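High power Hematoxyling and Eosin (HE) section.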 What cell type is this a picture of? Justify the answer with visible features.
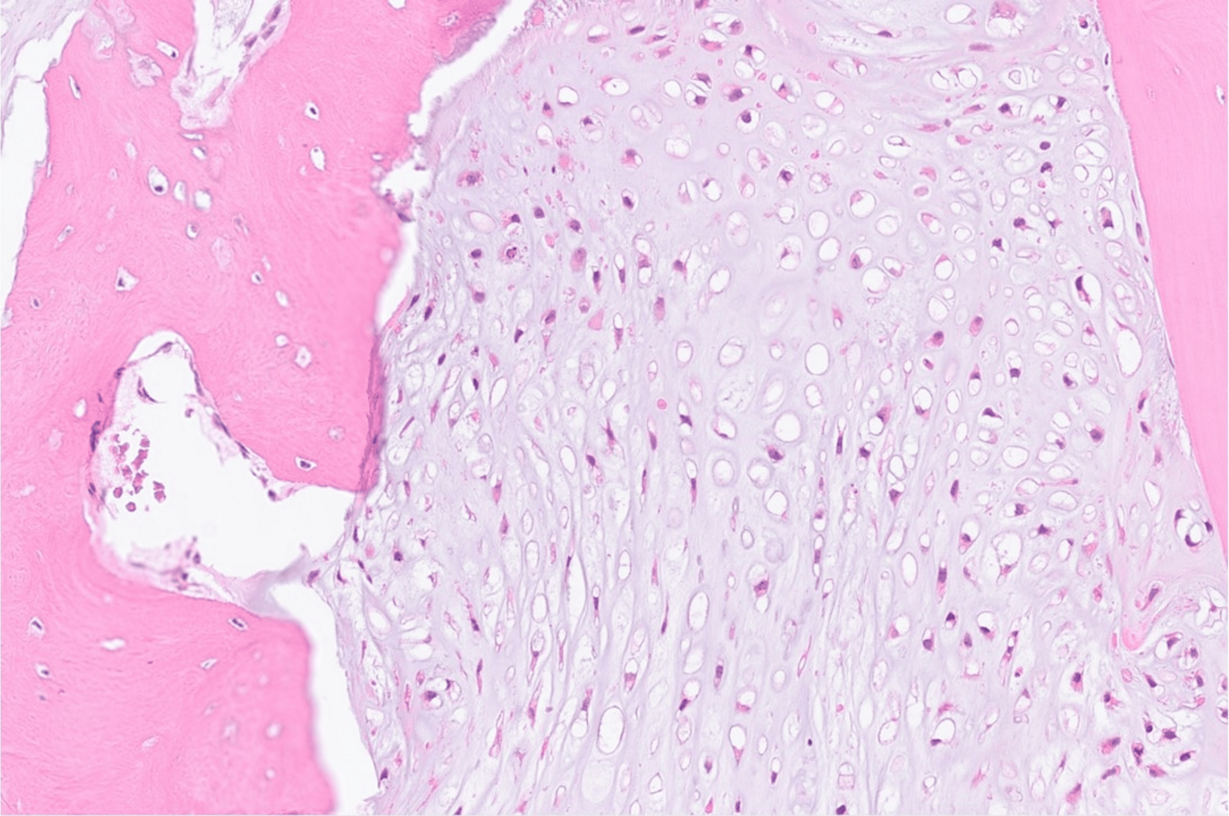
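Cells sit singly in clear, rounded lacuna-like spaces. The cells lie within a pale bluish-pink matrix. Cell shapes range from round to elongated.
Answer: chondrocytes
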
